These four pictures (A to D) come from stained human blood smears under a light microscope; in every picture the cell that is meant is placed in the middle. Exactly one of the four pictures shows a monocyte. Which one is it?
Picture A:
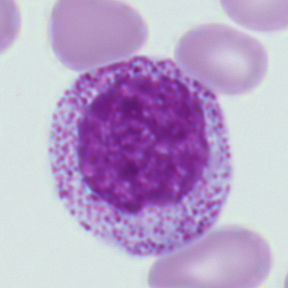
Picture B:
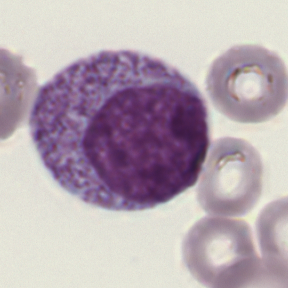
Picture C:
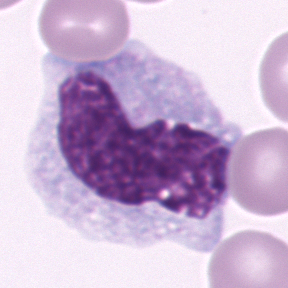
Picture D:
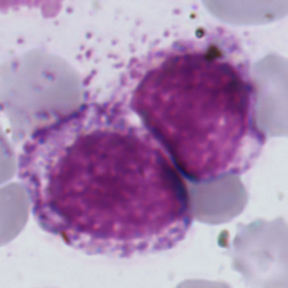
C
